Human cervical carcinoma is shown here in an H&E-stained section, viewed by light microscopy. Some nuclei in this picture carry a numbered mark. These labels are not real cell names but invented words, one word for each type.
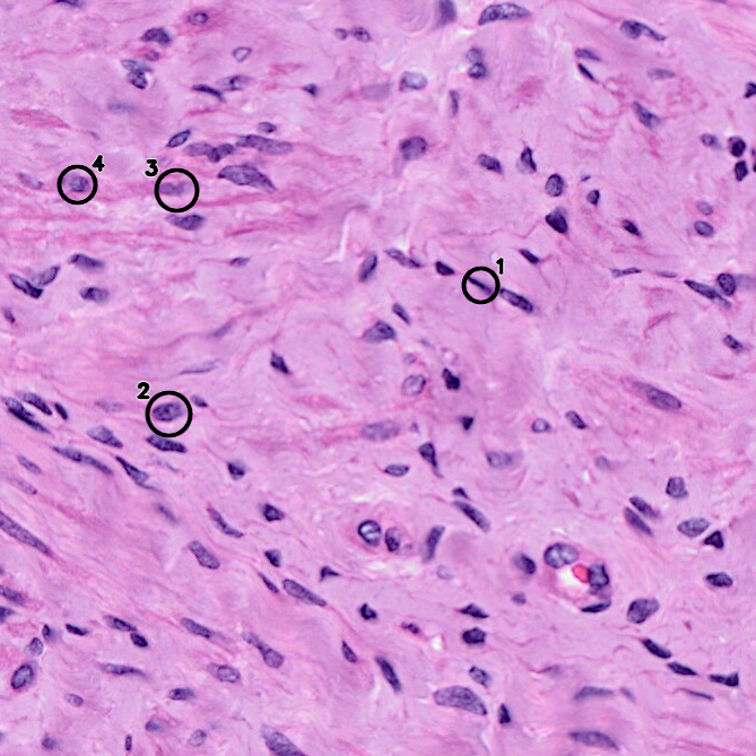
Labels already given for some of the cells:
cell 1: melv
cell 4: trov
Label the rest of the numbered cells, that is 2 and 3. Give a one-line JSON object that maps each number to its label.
{"2": "melv", "3": "trov"}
